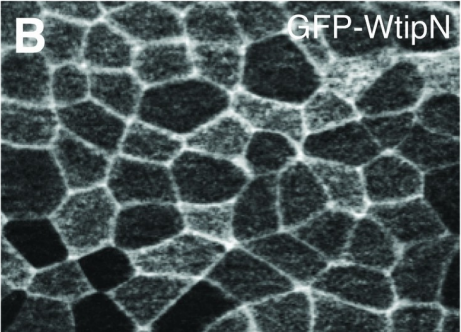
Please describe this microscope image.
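The cells differ in size and are mostly five- or six-sided, fitting against one another without gaps. Their interiors show a fainter, mottled haze, while some cells appear much darker than their neighbours. No nuclei are outlined clearly in this view.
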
